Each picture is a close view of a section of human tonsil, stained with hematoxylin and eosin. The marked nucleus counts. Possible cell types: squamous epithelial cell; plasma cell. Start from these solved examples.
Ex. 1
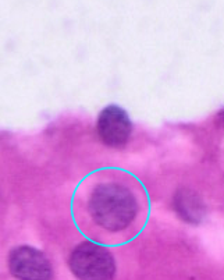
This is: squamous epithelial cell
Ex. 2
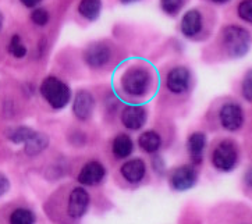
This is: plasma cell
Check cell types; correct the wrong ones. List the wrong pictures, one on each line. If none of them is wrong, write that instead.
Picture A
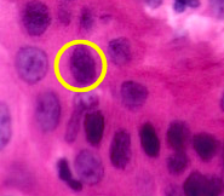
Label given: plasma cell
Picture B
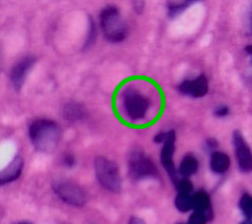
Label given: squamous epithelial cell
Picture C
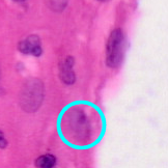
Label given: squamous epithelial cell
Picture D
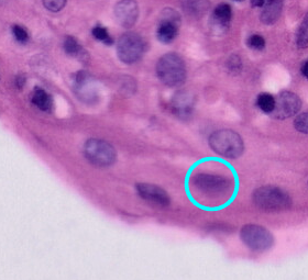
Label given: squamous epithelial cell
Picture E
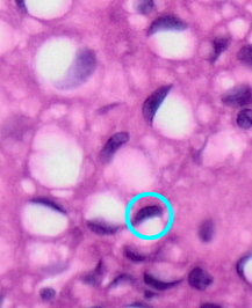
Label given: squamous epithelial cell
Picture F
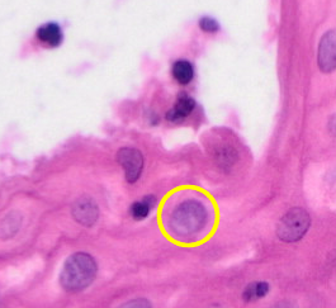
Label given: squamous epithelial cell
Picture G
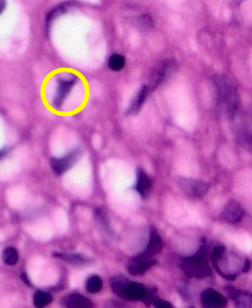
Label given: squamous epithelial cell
Wrong: A (plasma cell); correct: squamous epithelial cell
